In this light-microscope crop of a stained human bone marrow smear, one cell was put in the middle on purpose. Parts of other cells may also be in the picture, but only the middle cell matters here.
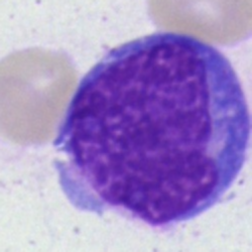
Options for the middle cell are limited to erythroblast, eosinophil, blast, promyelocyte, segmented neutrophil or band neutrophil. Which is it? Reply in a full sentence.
The centrally located cell in the crop is a blast.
